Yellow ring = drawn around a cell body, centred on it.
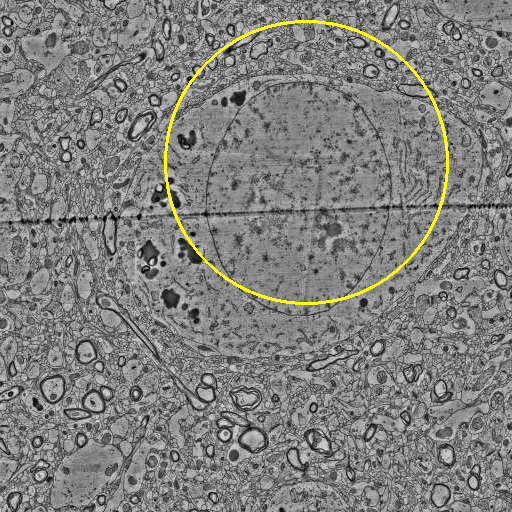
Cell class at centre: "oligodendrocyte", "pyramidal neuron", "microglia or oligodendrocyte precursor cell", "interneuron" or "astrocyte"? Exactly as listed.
pyramidal neuron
